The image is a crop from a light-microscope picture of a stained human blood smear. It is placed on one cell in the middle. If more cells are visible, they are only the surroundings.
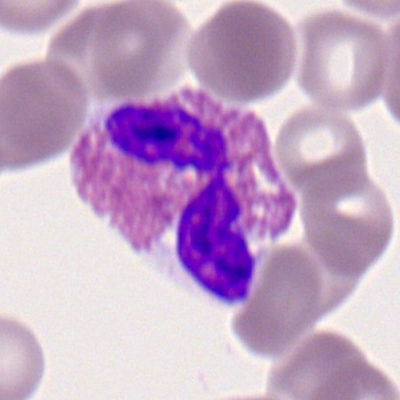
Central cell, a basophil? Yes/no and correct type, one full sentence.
No, the cell in the middle is recognised as an eosinophil rather than a basophil.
